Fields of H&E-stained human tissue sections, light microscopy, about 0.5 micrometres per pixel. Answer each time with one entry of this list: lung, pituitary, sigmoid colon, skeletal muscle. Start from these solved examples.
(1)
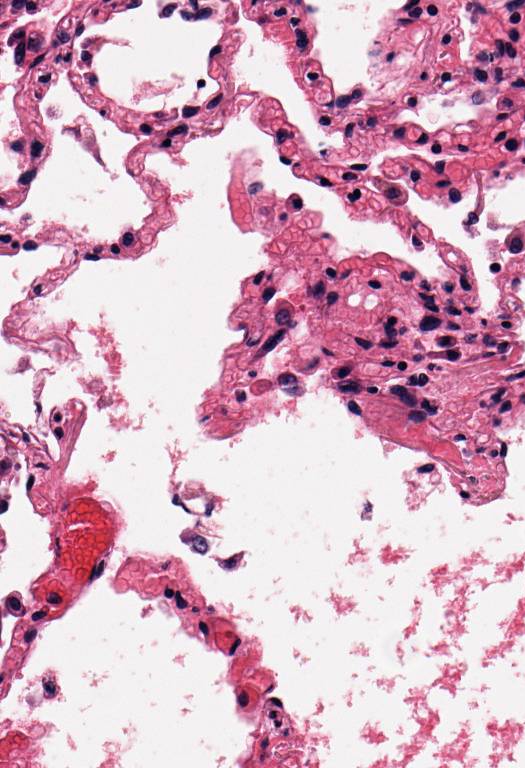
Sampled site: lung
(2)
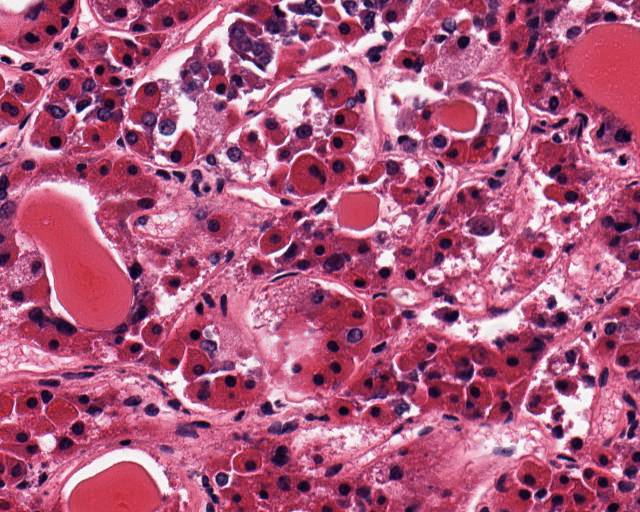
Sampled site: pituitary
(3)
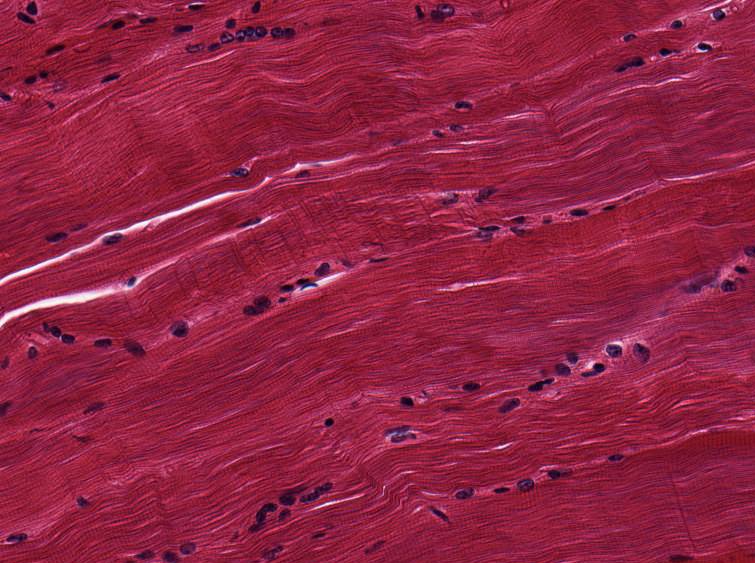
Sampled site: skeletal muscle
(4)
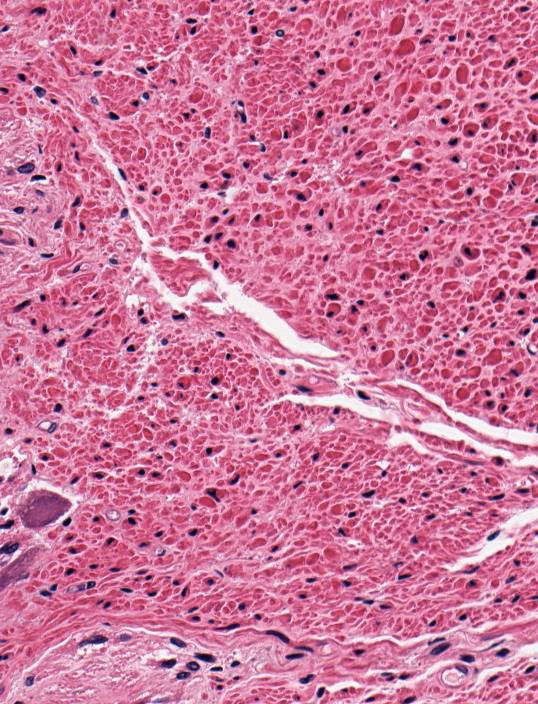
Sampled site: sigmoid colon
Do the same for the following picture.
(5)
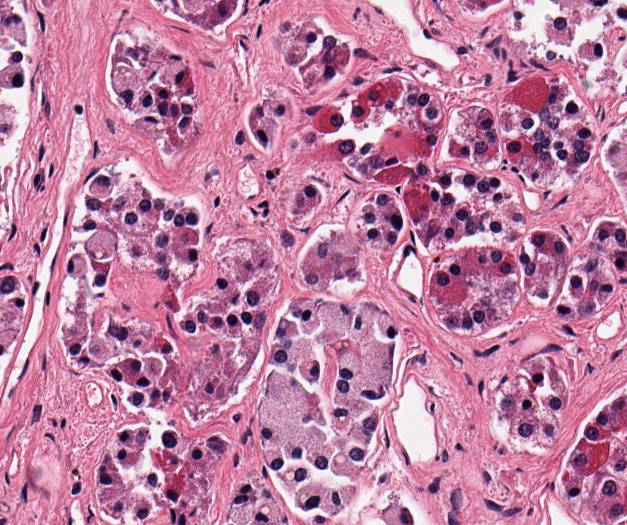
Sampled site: pituitary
